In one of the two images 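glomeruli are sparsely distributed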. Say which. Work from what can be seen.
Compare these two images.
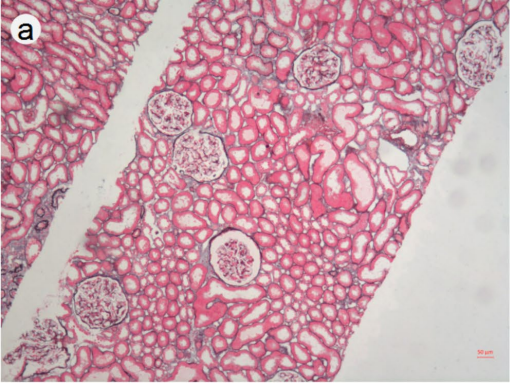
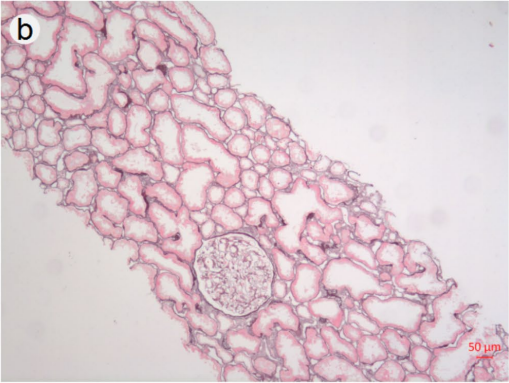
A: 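Second image: a single glomerulus in the whole strip of cortex. First image: several glomeruli close together across the field.
Answer: the second image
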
